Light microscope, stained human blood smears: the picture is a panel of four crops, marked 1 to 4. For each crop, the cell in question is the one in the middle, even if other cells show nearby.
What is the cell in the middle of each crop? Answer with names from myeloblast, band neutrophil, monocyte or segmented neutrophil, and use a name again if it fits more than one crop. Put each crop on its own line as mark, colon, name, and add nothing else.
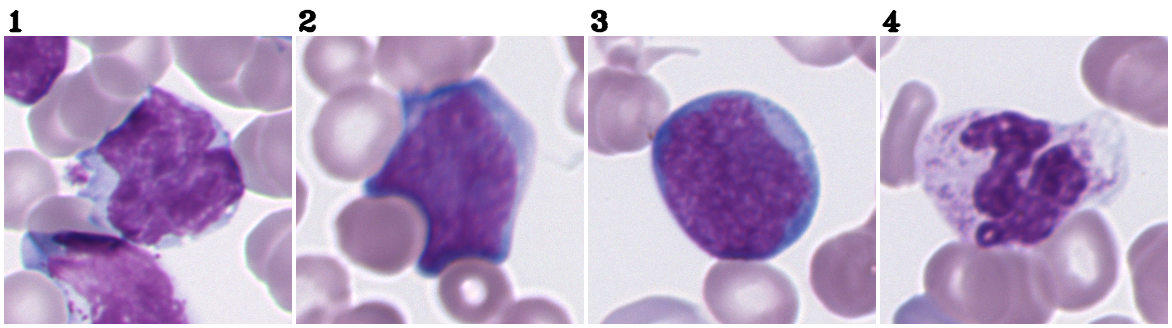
1: monocyte
2: myeloblast
3: myeloblast
4: segmented neutrophil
